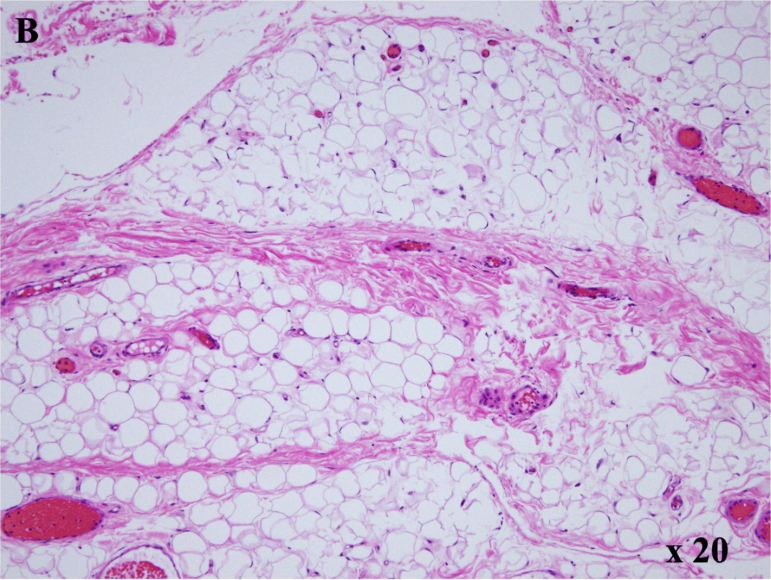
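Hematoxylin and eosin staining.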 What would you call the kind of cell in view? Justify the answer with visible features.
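Large, empty-looking, round to polygonal cells fill most of the field. Each cell has only a thin pink membrane rim with a flattened peripheral nucleus. Cells are grouped into lobules separated by pink fibrous septa containing blood vessels. On this evidence: Adipocytes.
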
